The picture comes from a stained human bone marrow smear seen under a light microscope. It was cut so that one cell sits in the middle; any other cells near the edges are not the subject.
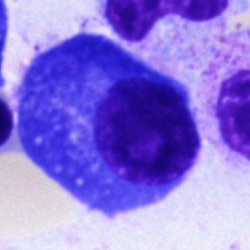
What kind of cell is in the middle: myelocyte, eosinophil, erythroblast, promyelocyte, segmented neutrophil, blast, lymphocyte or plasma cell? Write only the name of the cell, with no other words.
plasma cell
